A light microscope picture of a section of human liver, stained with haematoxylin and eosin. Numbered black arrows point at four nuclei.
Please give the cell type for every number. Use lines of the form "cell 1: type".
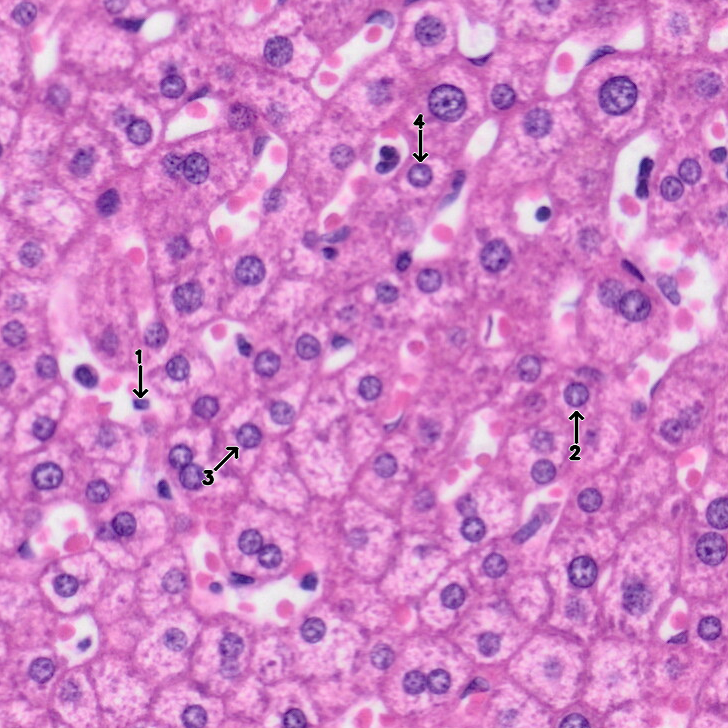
cell 1: lymphocyte
cell 2: hepatocyte
cell 3: hepatocyte
cell 4: hepatocyte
